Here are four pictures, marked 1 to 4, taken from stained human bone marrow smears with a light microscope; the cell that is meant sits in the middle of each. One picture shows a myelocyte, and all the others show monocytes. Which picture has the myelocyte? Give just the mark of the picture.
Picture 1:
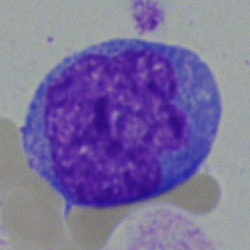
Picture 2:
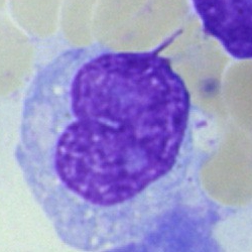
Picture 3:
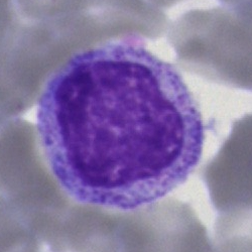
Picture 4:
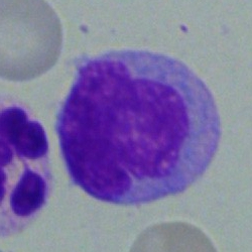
3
